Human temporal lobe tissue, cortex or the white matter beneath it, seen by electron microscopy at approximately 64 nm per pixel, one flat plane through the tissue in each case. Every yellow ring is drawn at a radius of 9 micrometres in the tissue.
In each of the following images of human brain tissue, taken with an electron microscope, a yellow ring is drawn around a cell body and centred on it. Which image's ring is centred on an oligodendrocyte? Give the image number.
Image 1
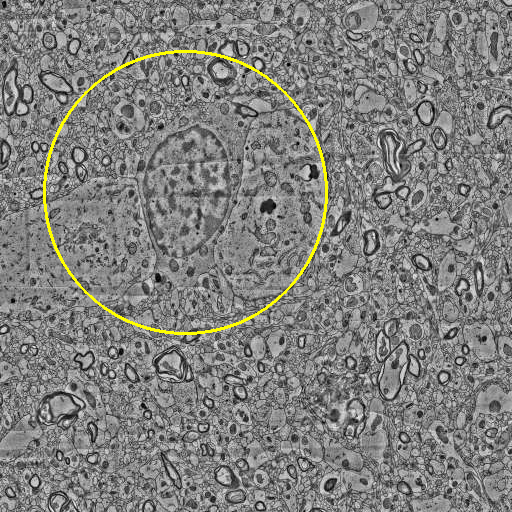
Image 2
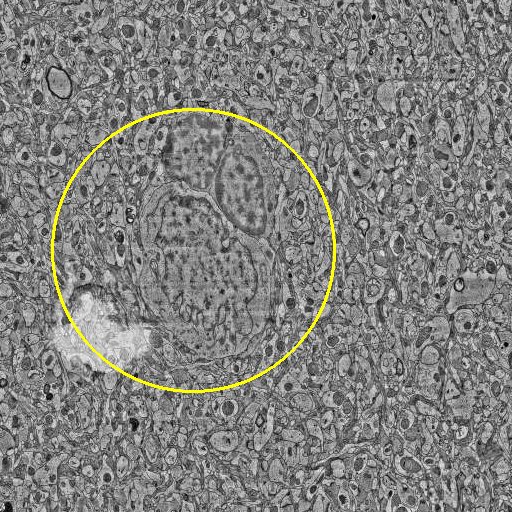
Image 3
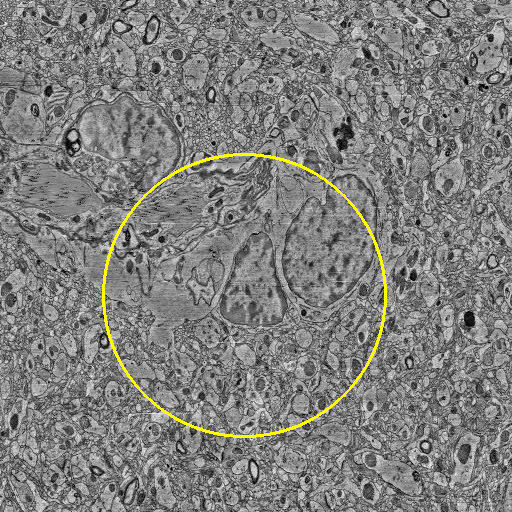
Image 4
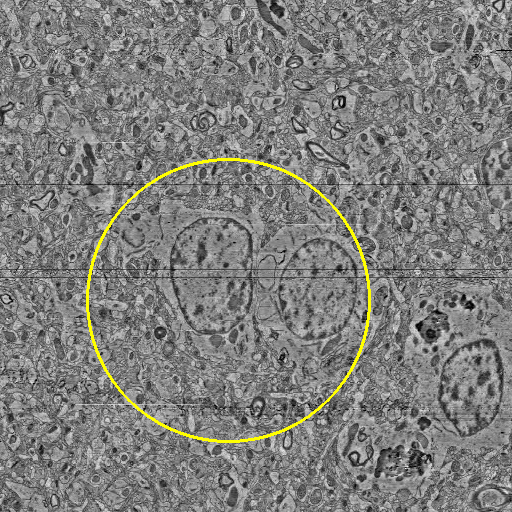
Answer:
1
